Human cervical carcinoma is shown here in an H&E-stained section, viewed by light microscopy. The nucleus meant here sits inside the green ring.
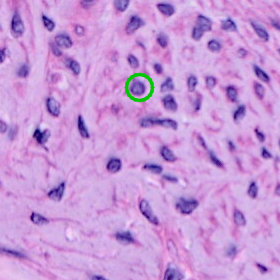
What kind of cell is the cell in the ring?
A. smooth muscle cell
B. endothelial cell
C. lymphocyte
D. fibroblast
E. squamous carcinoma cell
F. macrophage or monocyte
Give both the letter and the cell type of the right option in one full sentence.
It is as option A has it, the cell in the ring being a smooth muscle cell.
